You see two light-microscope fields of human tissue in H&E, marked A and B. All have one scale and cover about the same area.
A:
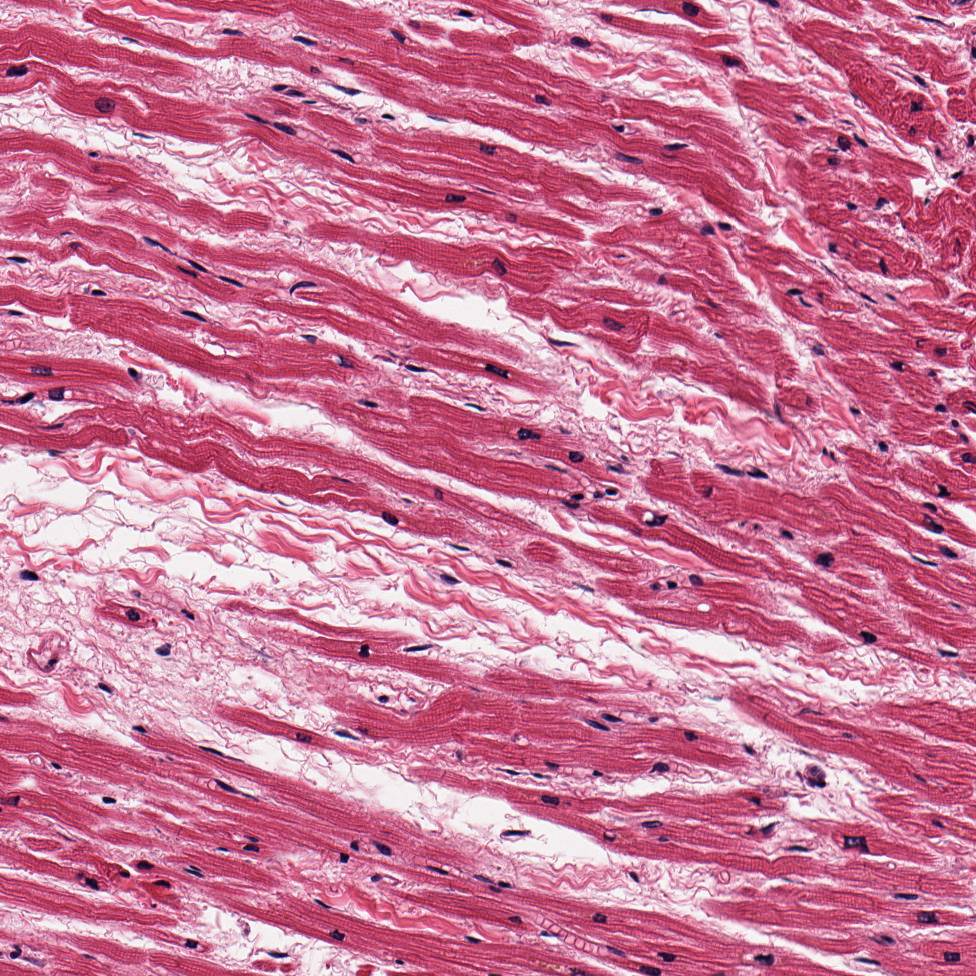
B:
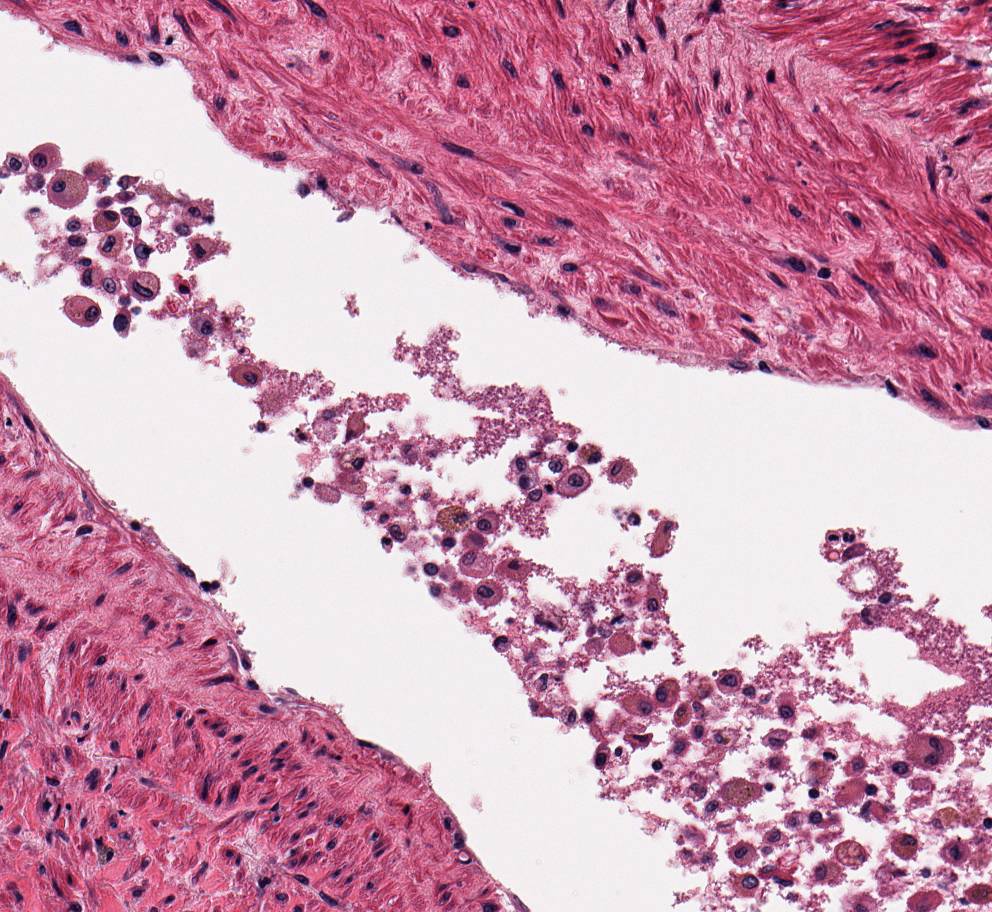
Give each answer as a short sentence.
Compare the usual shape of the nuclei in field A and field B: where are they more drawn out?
It is field A whose nuclei are the more elongated.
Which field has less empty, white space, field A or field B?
Unstained space takes up less of field A than of field B.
